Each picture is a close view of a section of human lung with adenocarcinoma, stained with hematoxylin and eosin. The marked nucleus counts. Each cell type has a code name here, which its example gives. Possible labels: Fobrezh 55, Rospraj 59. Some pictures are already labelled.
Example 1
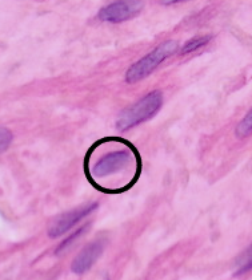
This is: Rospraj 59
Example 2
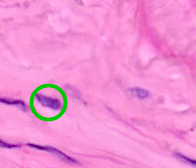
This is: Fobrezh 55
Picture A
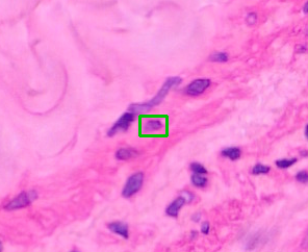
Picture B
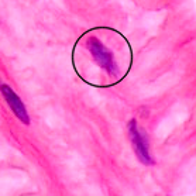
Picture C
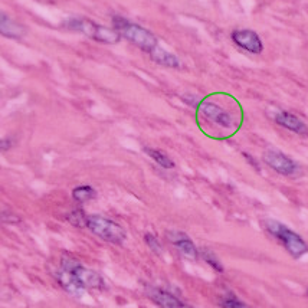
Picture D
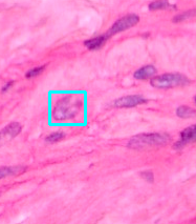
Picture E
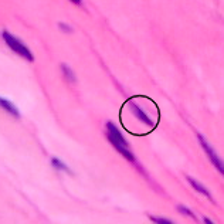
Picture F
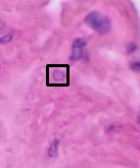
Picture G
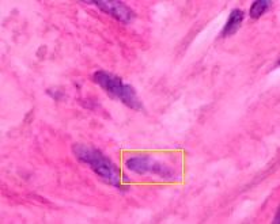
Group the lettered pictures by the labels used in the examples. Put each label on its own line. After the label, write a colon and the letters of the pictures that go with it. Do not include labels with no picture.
Fobrezh 55: E
Rospraj 59: A, B, C, D, F, G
